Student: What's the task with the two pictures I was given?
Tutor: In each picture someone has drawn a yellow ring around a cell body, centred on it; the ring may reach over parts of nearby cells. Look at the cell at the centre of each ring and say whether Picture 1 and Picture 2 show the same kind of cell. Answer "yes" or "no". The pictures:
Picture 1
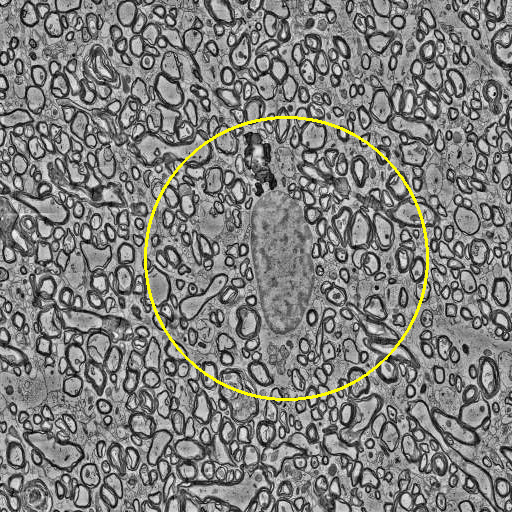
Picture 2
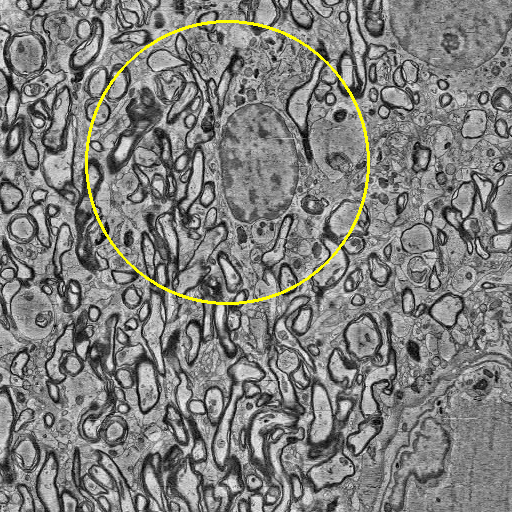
no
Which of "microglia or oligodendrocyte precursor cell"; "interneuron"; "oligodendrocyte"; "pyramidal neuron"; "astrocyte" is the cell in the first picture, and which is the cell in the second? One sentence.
The two differ: the first cell is an oligodendrocyte and the second is a microglial cell or oligodendrocyte precursor cell.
